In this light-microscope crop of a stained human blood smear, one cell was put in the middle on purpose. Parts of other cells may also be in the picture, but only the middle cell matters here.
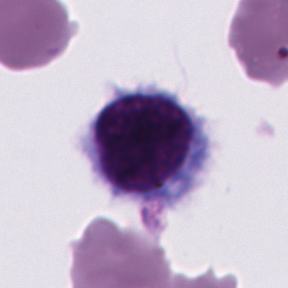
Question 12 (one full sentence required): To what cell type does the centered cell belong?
Standing at the centre of this crop is a hairy cell.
